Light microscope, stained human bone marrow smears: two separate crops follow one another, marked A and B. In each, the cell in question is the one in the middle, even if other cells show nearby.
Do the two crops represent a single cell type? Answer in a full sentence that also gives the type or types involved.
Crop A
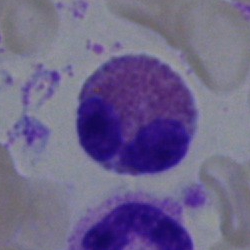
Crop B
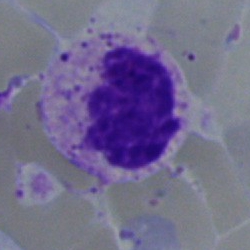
No, crop A and crop B contain, respectively, an eosinophil and a basophil.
